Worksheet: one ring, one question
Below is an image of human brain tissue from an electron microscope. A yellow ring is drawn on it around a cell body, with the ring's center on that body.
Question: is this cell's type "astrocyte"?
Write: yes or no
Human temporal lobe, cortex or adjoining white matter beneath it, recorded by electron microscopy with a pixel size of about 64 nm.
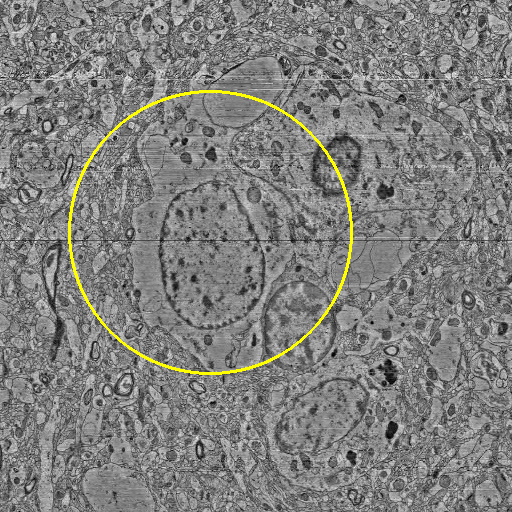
yes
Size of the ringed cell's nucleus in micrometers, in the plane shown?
In this plane the nucleus measures roughly 10 by 7 micrometers.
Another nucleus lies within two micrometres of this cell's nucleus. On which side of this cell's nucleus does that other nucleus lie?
That other nucleus lies to the lower right of it.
